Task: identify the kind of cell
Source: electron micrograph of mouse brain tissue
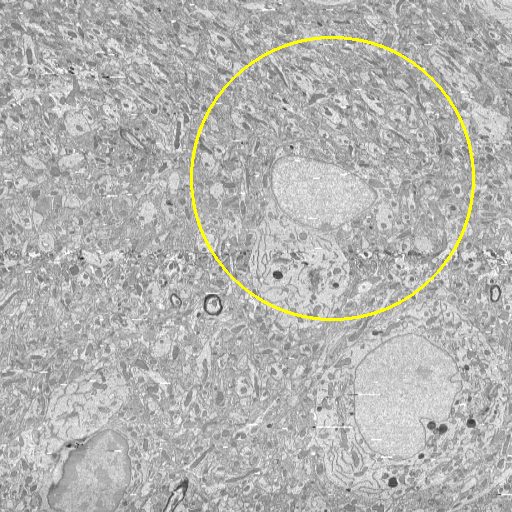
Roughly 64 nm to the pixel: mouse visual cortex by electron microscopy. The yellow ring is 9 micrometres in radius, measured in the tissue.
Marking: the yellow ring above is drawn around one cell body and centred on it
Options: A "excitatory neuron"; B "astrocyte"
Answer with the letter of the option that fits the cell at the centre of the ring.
B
